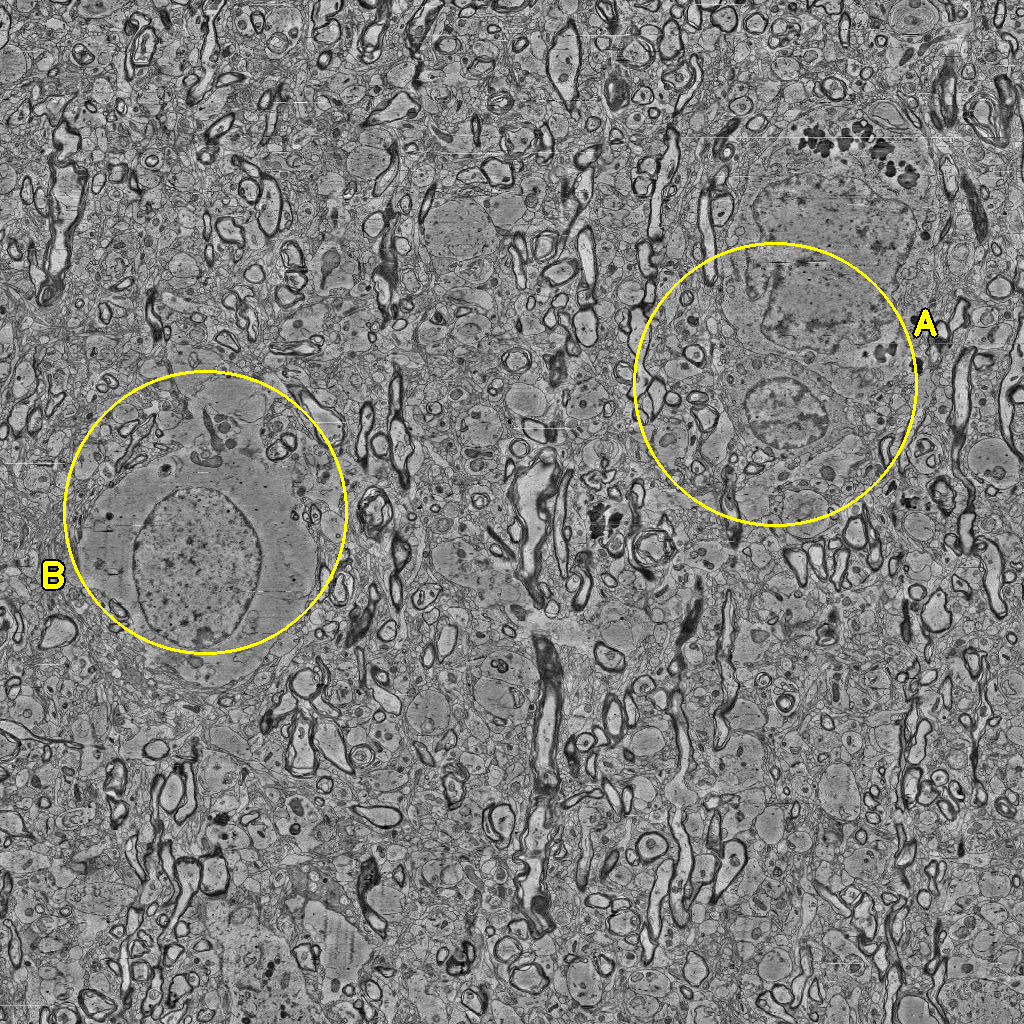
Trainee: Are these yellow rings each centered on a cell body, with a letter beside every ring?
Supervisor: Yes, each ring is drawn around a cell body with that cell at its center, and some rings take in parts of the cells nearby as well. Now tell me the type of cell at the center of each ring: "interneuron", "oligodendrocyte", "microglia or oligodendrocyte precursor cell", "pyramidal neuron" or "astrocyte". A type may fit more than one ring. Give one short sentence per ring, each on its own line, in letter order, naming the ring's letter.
Ring A has an oligodendrocyte at its center.
Ring B has an astrocyte at its center.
